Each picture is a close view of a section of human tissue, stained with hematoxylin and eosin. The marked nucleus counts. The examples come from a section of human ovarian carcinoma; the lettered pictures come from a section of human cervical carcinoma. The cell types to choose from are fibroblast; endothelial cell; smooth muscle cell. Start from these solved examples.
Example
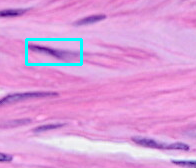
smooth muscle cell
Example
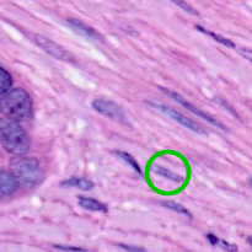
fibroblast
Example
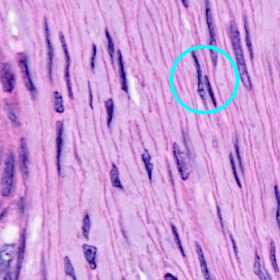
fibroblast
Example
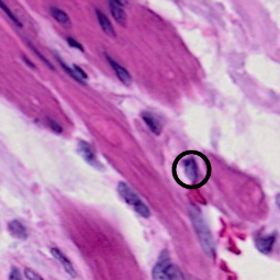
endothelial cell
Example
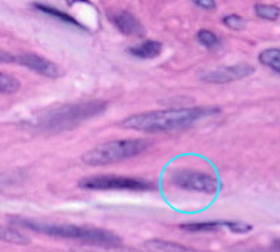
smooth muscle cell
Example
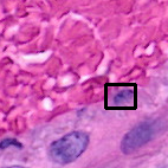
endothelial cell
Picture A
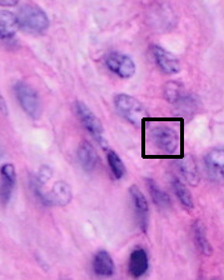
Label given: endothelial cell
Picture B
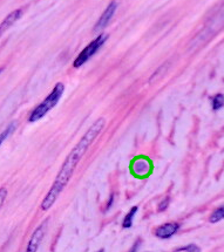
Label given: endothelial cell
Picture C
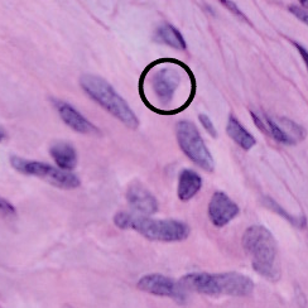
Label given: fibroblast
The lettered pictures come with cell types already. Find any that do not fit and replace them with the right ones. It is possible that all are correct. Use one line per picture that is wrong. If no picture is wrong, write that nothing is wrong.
B: not endothelial cell but smooth muscle cell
